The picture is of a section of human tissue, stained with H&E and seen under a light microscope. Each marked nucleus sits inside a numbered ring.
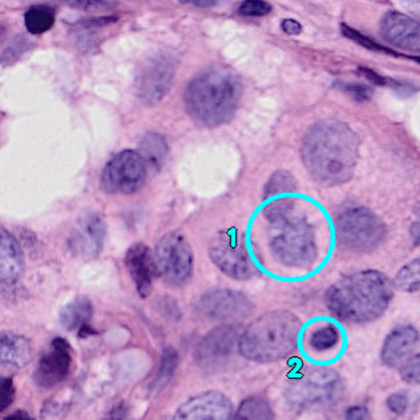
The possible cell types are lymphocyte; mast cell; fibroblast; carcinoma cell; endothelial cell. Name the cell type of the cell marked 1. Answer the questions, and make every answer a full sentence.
The cell to which the number 1 is assigned is a carcinoma cell.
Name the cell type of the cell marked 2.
The cell whose nucleus carries the number 2 is a lymphocyte.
